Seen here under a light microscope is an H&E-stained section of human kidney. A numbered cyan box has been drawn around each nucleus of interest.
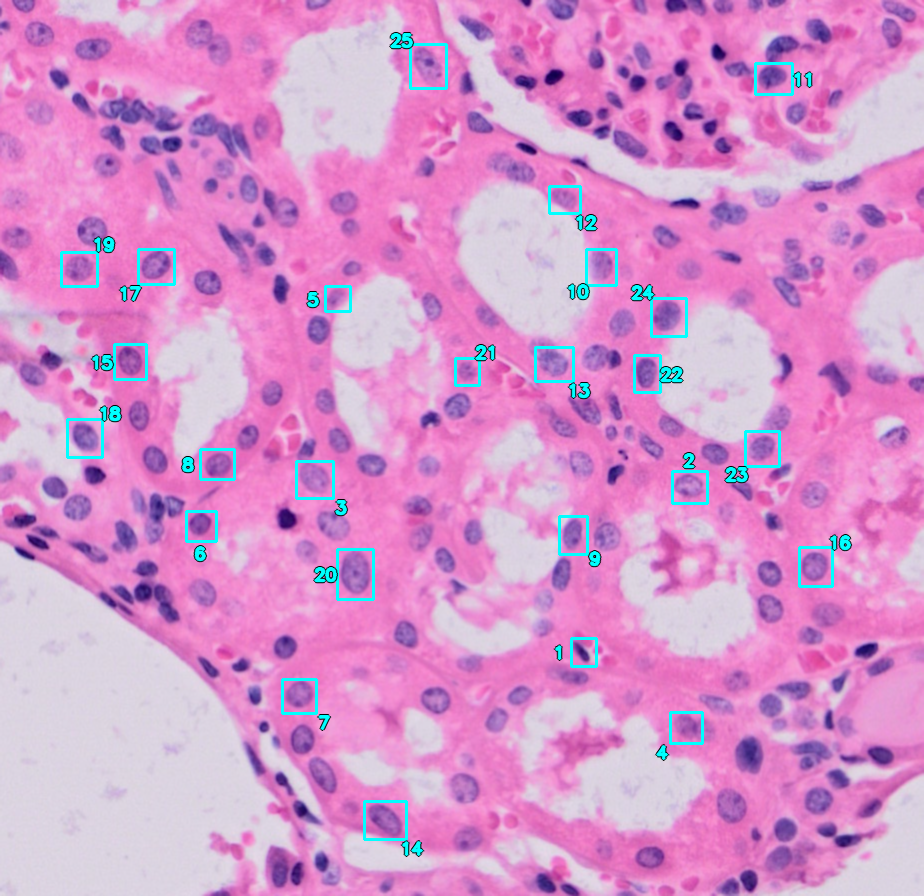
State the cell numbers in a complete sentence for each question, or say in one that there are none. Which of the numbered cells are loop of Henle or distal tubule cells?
The cells referred to by the numbers 5, 9, 10, 12, 13, 21, 22, 23 and 24 are loop of Henle or distal tubule cells.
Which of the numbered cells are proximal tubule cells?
The cells with labels 2, 3, 4, 6, 7, 8, 14, 15, 16, 17, 19, 20 and 25 are proximal tubule cells.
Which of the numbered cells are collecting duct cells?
Only at number 18 is there a collecting duct cell among the marked cells.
